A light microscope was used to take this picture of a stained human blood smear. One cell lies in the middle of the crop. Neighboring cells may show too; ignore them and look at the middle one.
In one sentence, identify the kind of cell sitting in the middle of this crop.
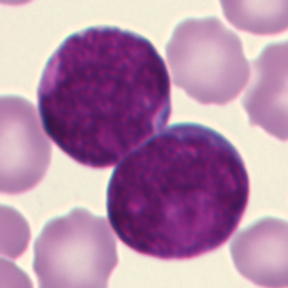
The cell under consideration, at the middle of the crop, is a myeloblast.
